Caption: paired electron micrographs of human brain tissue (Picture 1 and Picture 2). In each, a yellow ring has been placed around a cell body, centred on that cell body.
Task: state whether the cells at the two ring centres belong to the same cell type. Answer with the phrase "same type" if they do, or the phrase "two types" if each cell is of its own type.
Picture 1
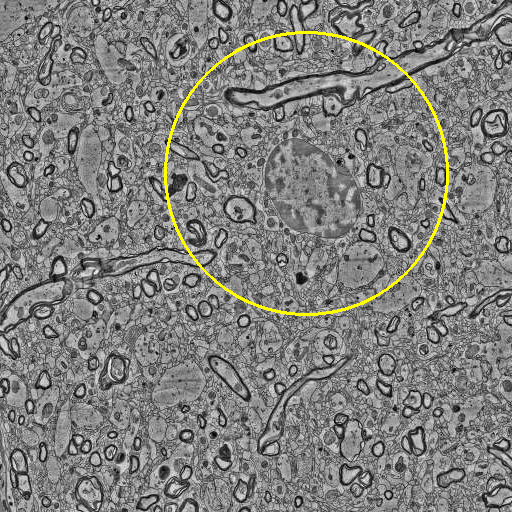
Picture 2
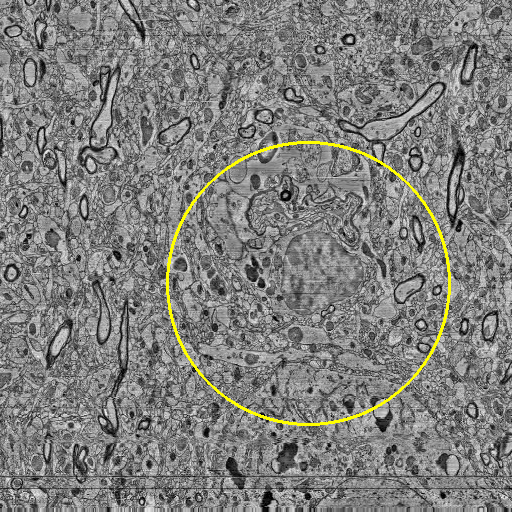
two types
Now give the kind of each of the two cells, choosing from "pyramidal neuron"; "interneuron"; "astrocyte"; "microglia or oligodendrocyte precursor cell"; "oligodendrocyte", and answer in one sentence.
The cell in the first picture is a microglial cell or oligodendrocyte precursor cell, and the cell in the second is an oligodendrocyte.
